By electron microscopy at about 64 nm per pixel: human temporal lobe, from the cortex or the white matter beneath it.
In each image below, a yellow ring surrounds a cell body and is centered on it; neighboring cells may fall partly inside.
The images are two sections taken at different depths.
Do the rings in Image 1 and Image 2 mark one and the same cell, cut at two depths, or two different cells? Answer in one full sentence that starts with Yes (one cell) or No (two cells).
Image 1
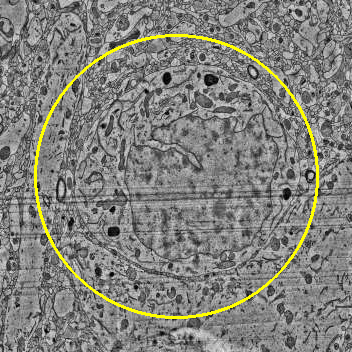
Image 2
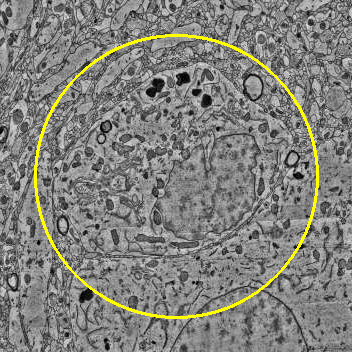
Yes, these two rings point to one cell rather than two.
